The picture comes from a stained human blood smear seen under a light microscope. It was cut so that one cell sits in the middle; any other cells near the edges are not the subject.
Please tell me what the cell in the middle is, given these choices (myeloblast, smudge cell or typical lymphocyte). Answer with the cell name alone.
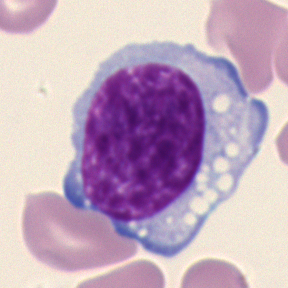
myeloblast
